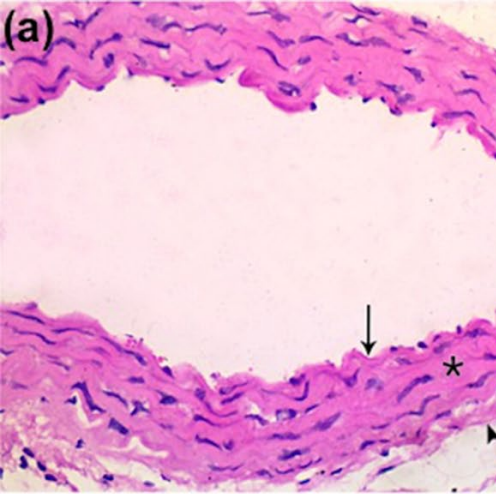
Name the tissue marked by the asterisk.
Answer: Media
